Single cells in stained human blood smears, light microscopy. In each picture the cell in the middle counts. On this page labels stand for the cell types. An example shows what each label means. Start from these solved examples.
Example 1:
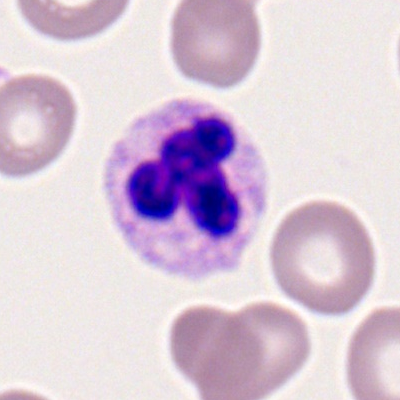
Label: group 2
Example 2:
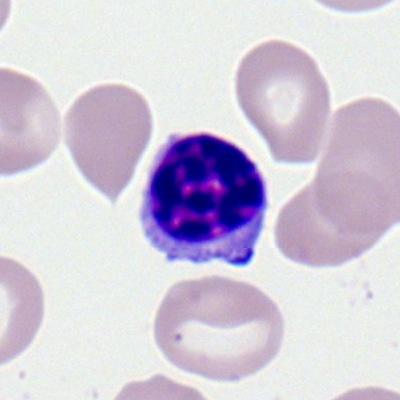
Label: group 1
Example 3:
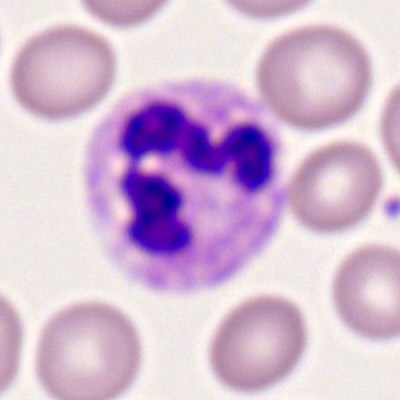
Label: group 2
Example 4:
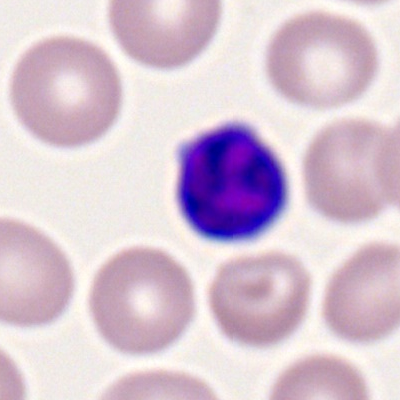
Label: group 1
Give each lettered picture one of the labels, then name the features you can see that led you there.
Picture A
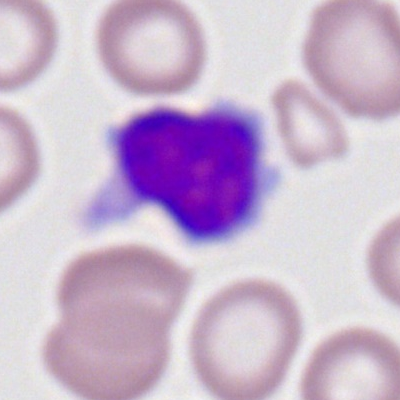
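group 1. Reason: The nucleus is a single mass and is not divided into lobes.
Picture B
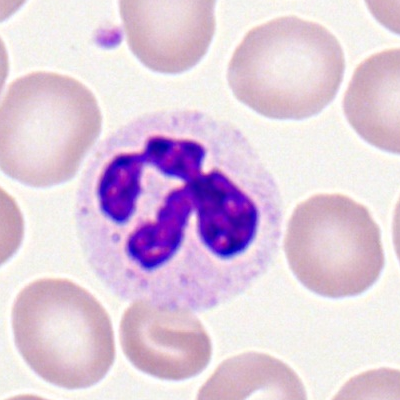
group 2. Reason: The cytoplasm is abundant and pale pinkish-lilac.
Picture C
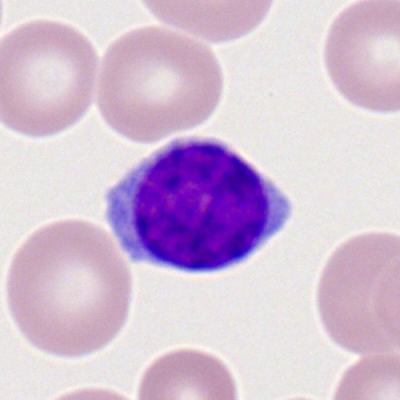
group 1. Reason: The cytoplasm forms only a narrow rim around the nucleus.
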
